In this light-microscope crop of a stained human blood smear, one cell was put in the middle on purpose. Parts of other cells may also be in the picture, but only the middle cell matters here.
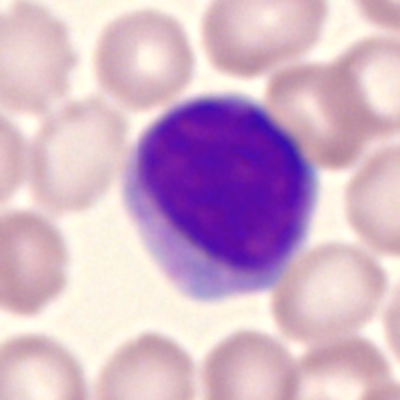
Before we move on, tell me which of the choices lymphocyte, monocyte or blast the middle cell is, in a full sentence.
This crop's central cell is a blast.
